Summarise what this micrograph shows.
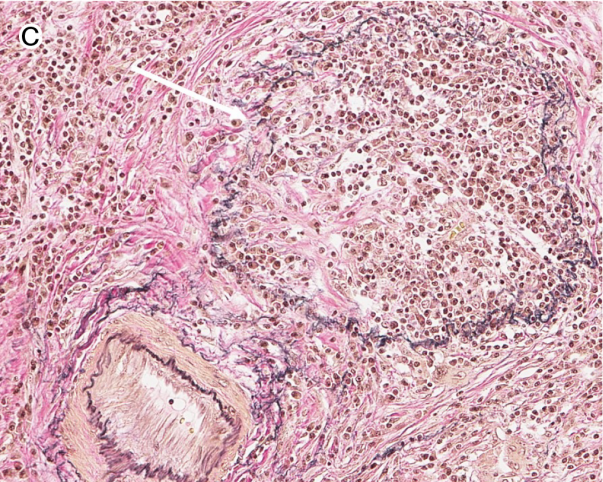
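A large round vein outline, traced by a wavy black elastic line, is completely filled with inflammatory cells with dark brown round nuclei and strands of pink fibrous tissue, so that no lumen remains: an obliterated vein. Beside it, at the lower left, an artery with a thick pale tan muscular wall and a dark elastic lamina keeps an open lumen. The surrounding stroma is densely crowded with similar round inflammatory cells between pink collagen fibres.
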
